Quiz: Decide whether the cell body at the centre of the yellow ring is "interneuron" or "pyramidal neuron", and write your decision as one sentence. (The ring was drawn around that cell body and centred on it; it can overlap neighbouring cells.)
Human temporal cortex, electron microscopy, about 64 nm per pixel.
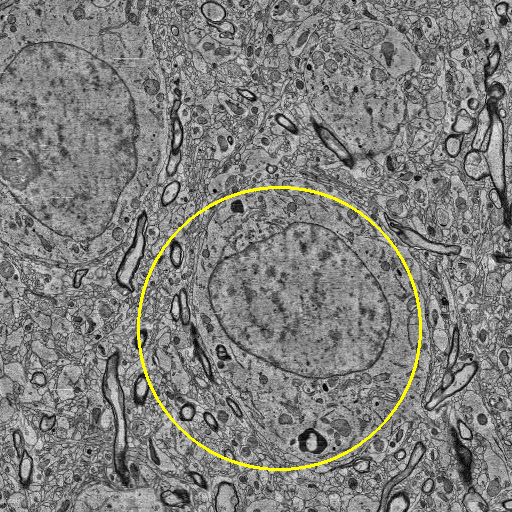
The cell the ring is centred on is a pyramidal neuron.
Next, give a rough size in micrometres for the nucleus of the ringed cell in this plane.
About 12 by 10 micrometers, in this plane.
